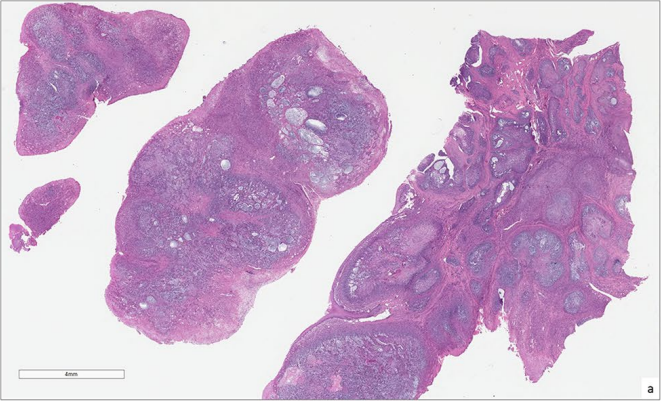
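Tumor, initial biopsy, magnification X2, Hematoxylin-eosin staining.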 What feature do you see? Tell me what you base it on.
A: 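The tissue is divided into rounded bluish nodules. Pink fibrous bands separate the nodules. So: lobules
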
